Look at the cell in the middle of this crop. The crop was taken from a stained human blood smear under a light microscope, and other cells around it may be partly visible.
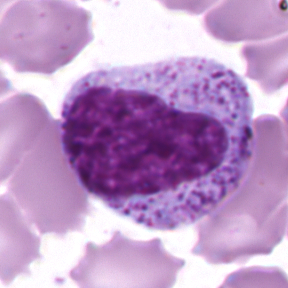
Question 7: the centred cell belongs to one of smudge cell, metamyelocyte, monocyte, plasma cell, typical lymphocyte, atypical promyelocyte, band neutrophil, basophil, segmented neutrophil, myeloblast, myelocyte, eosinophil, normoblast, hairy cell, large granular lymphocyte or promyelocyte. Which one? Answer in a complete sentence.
The single cell at the center of the crop is a myelocyte.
